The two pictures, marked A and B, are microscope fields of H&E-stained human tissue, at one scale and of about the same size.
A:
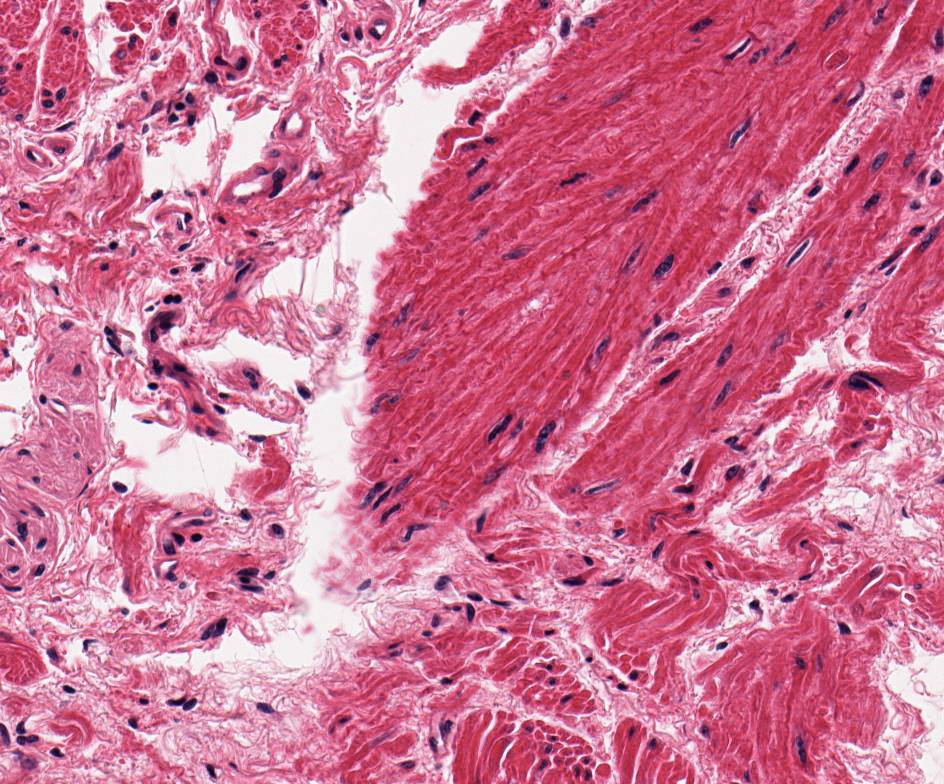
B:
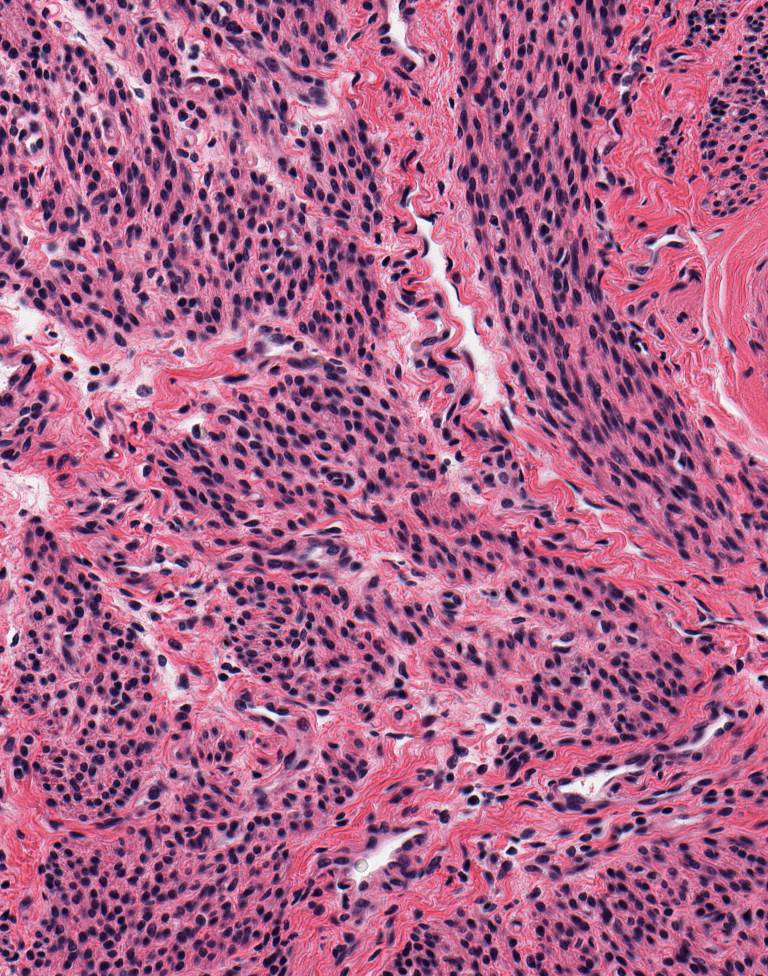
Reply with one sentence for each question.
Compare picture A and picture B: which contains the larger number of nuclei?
There are more nuclei in picture B.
